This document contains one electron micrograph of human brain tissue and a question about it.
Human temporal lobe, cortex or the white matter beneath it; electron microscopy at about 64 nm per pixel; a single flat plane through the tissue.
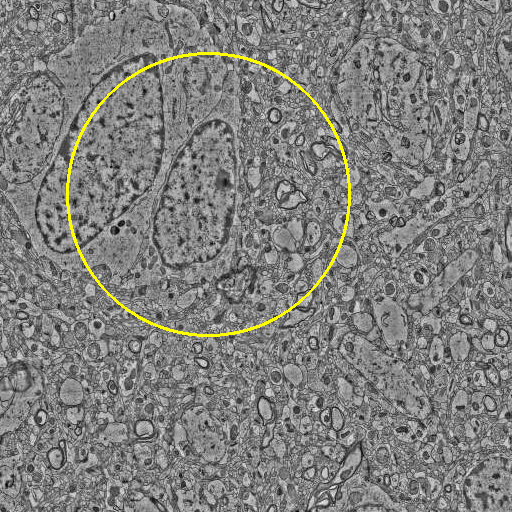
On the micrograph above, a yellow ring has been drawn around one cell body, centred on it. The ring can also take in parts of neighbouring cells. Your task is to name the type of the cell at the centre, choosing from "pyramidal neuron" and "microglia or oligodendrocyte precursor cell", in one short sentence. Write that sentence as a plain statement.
Here the ring is centred on a microglial cell or oligodendrocyte precursor cell.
